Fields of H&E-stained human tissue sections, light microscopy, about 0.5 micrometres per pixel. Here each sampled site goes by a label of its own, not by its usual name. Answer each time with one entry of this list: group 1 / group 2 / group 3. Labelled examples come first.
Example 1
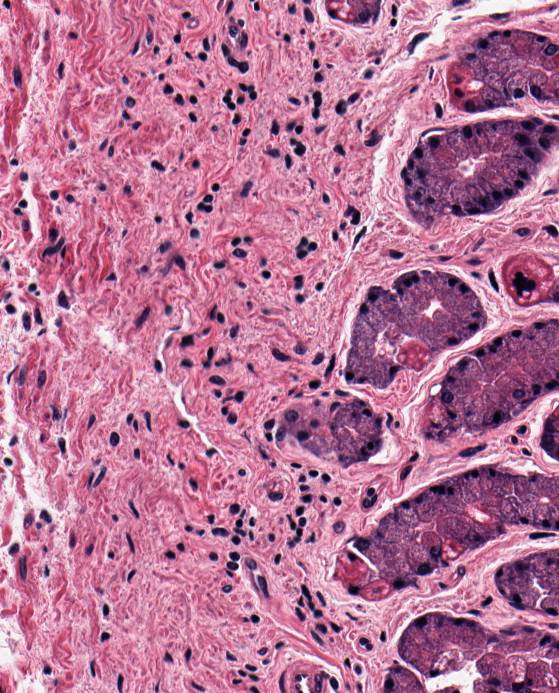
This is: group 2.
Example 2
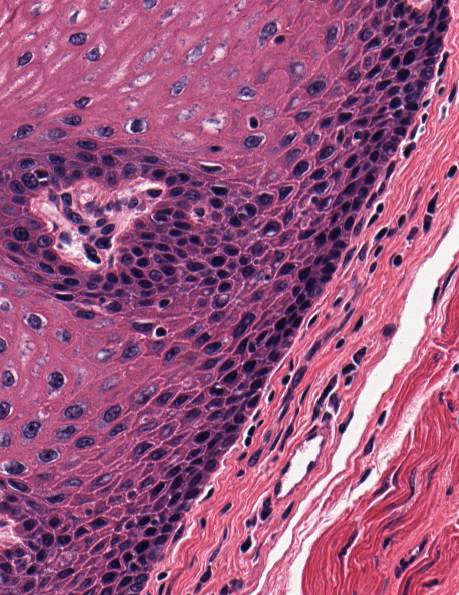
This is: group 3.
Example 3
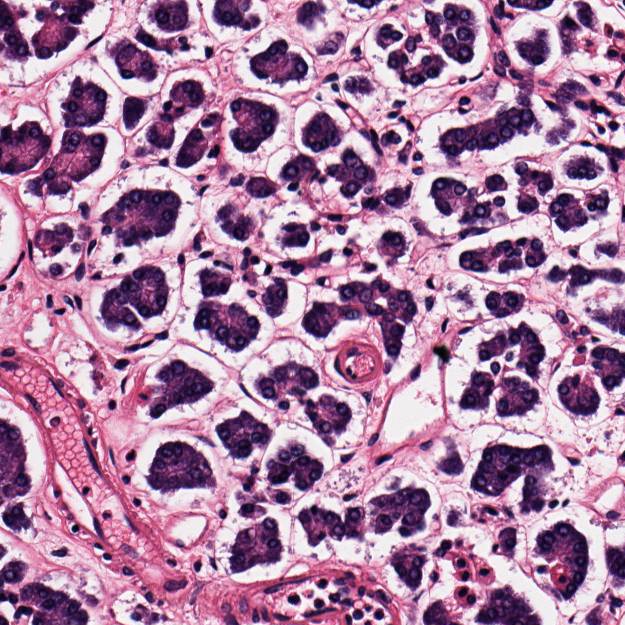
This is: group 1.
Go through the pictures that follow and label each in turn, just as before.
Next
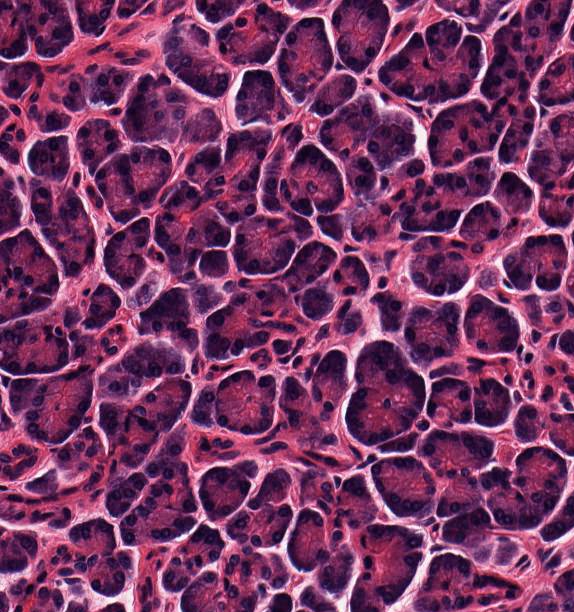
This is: group 1.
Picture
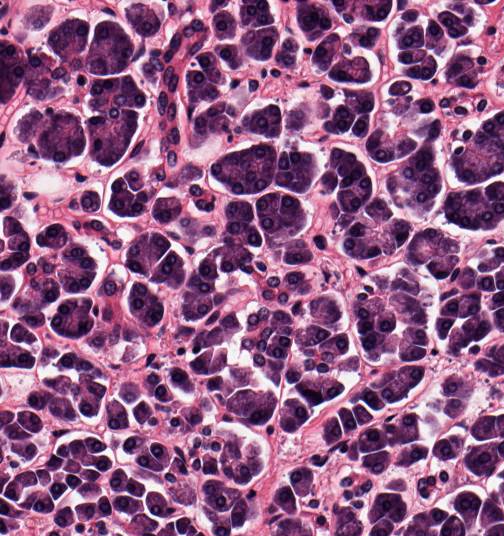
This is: group 1.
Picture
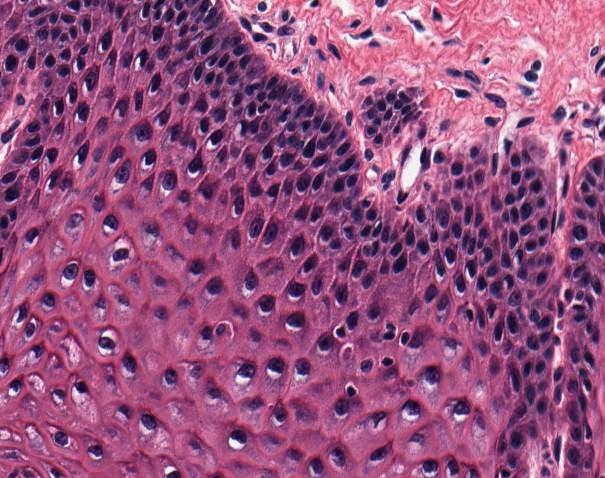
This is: group 3.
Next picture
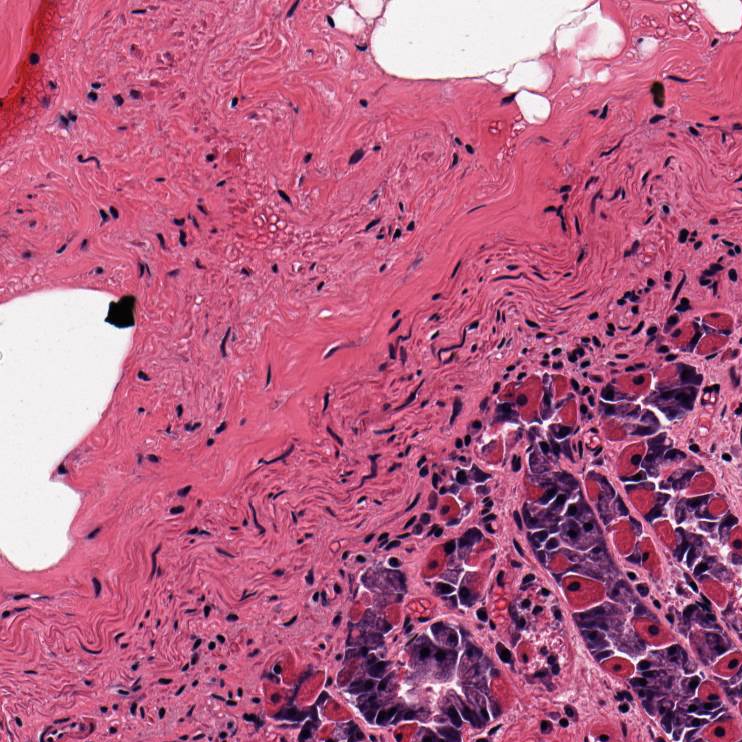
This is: group 2.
